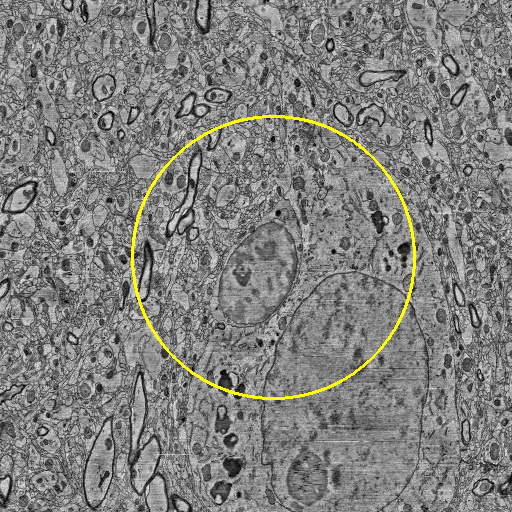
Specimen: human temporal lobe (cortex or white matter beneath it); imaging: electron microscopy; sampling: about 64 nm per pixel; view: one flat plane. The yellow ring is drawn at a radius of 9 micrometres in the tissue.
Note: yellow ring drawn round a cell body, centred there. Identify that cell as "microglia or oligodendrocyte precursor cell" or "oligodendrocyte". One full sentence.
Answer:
The cell in the middle of the ring is an oligodendrocyte.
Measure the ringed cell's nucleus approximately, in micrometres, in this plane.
Approximately 7 micrometres long and 5 micrometres wide, in this plane.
